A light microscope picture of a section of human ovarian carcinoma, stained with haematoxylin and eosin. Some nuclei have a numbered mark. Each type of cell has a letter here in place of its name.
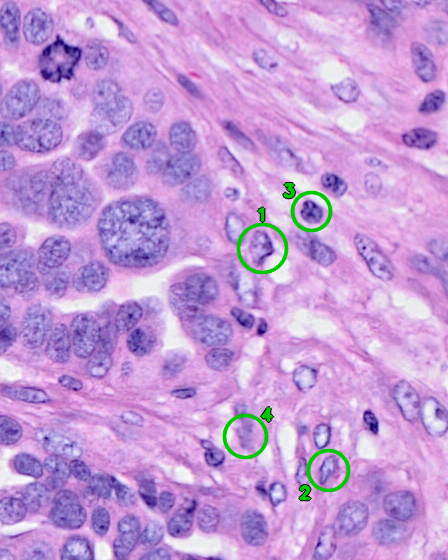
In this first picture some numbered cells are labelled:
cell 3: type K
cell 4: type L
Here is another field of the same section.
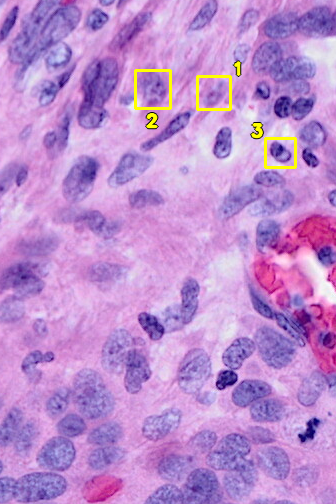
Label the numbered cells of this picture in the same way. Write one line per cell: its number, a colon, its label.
1: type L
2: type L
3: type K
